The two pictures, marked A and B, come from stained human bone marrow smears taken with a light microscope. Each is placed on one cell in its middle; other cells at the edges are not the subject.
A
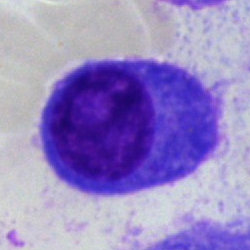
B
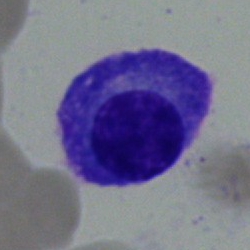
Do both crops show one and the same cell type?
yes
